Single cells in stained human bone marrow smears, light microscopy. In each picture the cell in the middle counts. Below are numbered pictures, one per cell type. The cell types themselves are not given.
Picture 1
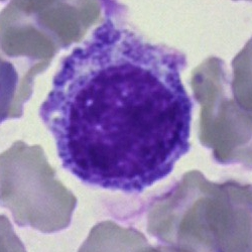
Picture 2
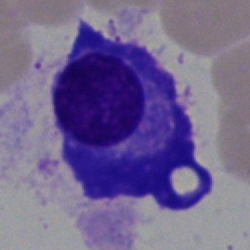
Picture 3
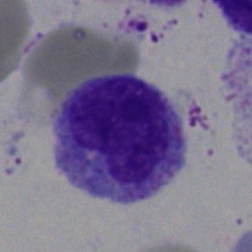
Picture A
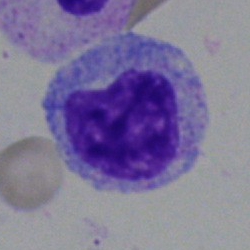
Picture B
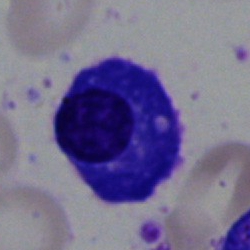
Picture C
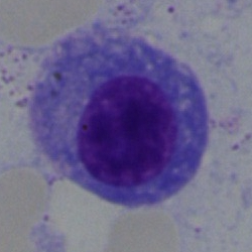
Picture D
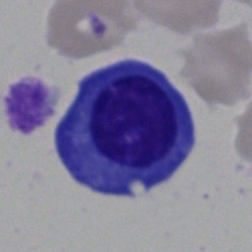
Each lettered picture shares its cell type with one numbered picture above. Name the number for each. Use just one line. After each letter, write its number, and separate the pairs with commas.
A 3, B 2, C 2, D 2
